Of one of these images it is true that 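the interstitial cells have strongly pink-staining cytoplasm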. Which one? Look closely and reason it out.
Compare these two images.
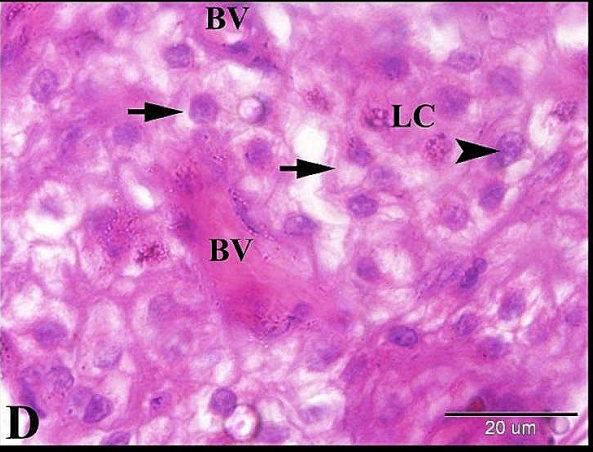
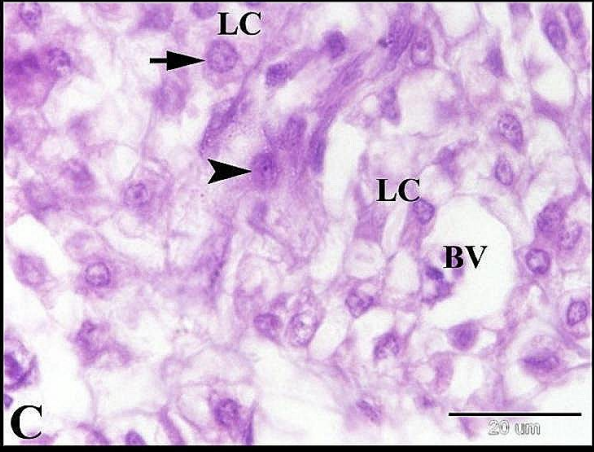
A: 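First image: the polygonal cells have pink, foamy cytoplasm. Second image: the polygonal cells have pale, lilac cytoplasm with clear vacuoles. So: the first image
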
